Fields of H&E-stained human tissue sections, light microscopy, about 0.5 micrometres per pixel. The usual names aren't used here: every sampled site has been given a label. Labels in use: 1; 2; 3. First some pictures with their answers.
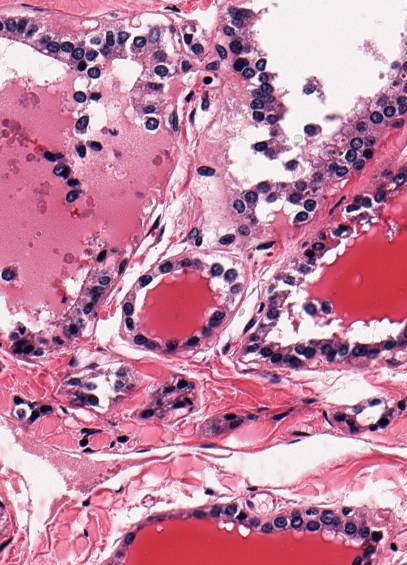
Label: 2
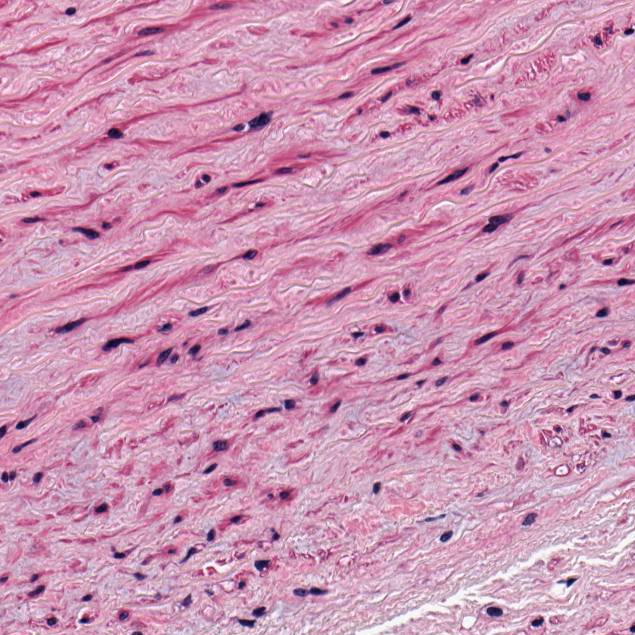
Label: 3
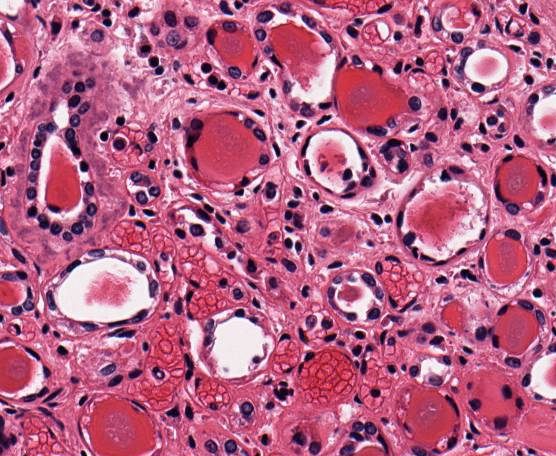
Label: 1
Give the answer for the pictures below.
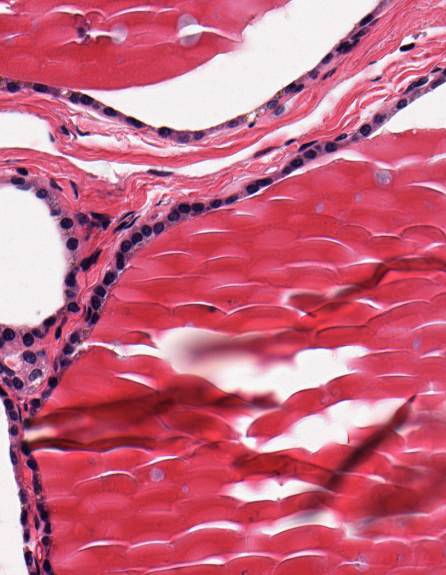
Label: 2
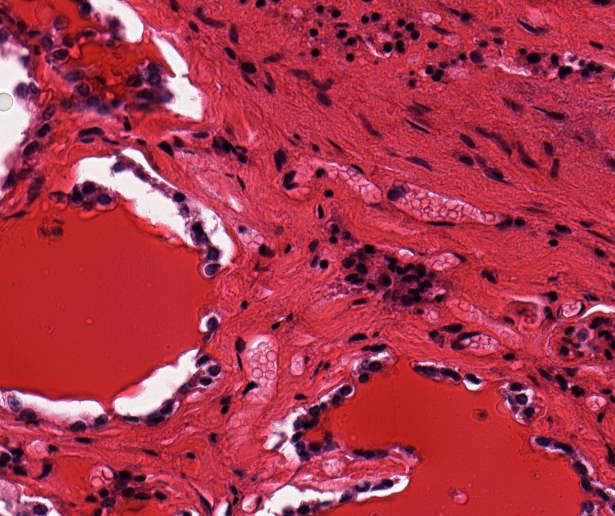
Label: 2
